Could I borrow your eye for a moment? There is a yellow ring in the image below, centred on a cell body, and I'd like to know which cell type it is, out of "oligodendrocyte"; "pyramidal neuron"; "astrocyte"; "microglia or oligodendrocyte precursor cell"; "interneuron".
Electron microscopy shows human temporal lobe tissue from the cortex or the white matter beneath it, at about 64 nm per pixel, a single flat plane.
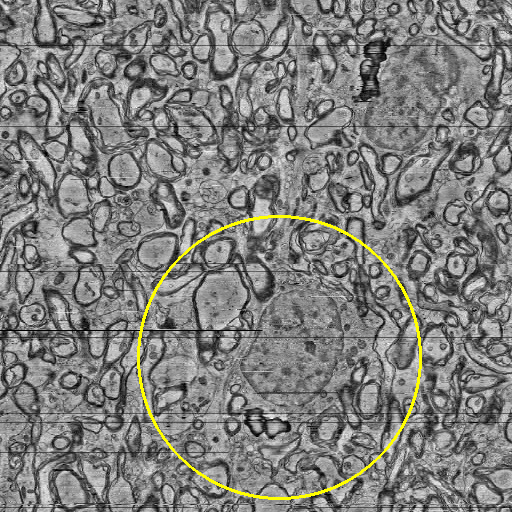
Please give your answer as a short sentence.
The cell body at the centre is that of an oligodendrocyte.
